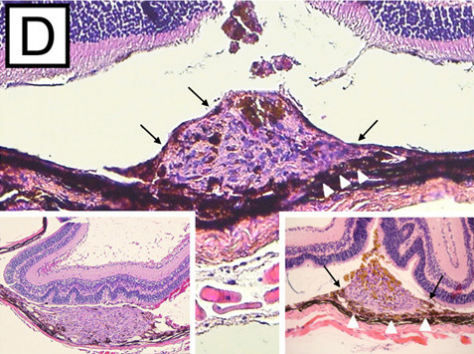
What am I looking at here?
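This shows a fibrovascular lesion of new choroidal vessels rising under the retina and covered by retinal pigment epithelium. A dome-shaped mound of purple, cellular tissue sits on the dark, heavily pigmented choroid. Its surface is covered by brown pigmented cells, flattened and spindle-shaped, marked by arrows along the slope. Above it lies a fluid-filled space and then the retina, its outer nuclear layer of closely packed dark round nuclei. The left inset shows a lesion whose surface lacks pigmented cells, while the right inset shows brown pigmented cells spreading over a lesion's surface.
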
